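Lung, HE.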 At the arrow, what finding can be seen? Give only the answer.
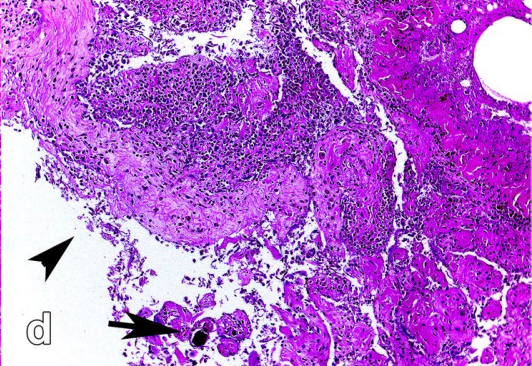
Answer: Focal mineralization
